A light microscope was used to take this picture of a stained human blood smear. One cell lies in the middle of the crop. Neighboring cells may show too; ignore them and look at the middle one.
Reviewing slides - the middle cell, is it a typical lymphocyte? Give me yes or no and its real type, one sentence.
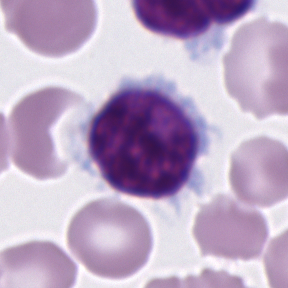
No, the central cell does not count as a typical lymphocyte; it is a hairy cell.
